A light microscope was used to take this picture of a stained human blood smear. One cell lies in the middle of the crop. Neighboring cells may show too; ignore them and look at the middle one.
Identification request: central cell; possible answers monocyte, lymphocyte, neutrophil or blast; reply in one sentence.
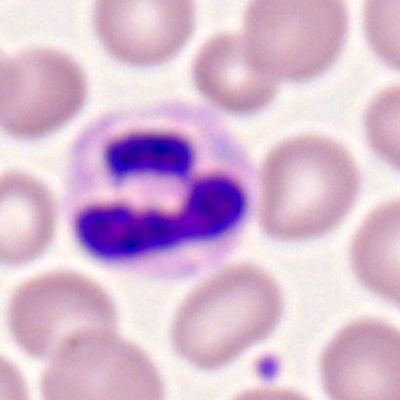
Regarding the central cell, it is a neutrophil.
